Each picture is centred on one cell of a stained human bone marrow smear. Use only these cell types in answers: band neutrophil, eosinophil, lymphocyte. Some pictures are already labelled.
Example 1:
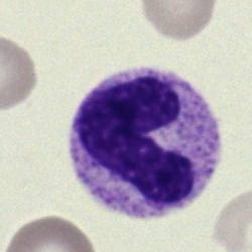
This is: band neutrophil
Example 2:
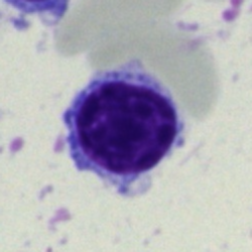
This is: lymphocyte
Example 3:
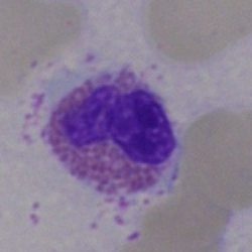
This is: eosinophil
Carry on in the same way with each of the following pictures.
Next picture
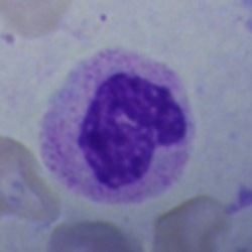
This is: band neutrophil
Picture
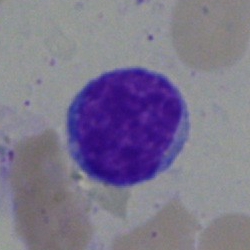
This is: lymphocyte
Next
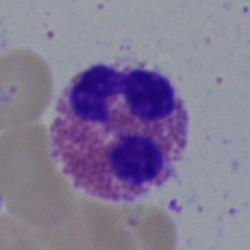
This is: eosinophil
